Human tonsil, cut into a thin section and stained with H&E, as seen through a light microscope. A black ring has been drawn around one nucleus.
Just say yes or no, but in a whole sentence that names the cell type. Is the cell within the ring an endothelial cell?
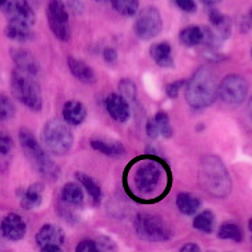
No, the cell within the ring qualifies as a plasma cell and does not qualify as an endothelial cell.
